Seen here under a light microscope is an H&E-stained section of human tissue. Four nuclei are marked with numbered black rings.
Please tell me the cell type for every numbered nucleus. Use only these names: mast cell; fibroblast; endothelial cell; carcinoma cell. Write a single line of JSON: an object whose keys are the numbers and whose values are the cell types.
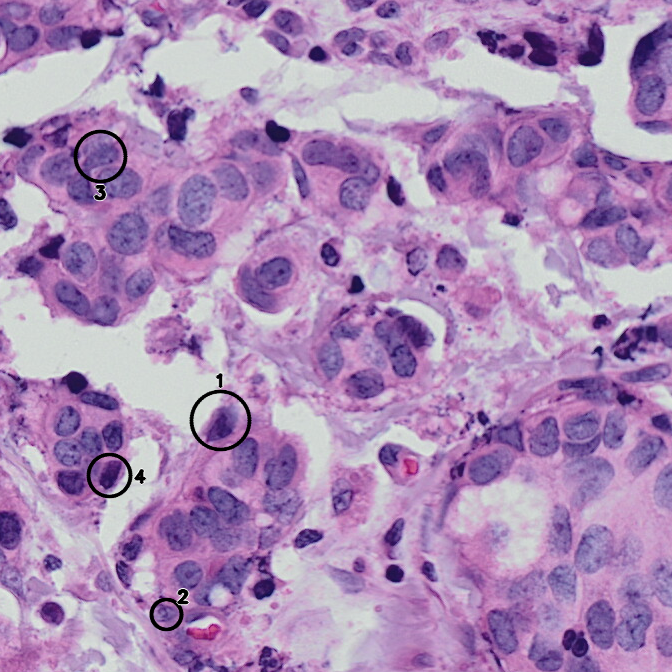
{"1": "carcinoma cell", "2": "endothelial cell", "3": "carcinoma cell", "4": "carcinoma cell"}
